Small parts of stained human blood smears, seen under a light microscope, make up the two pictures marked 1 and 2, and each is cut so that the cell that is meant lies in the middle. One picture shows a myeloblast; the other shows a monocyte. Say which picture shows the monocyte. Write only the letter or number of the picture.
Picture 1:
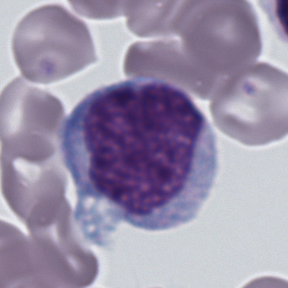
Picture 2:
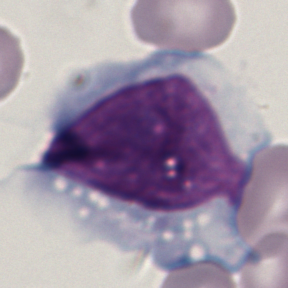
1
